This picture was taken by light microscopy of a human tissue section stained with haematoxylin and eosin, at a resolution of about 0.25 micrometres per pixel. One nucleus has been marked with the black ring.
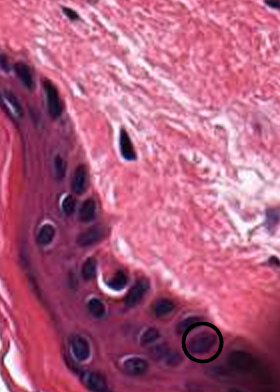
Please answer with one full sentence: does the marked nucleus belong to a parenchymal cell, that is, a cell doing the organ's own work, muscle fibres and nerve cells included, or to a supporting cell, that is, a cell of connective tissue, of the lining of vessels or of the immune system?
Seen here, the marked nucleus belongs to a parenchymal cell, namely a keratinocyte.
